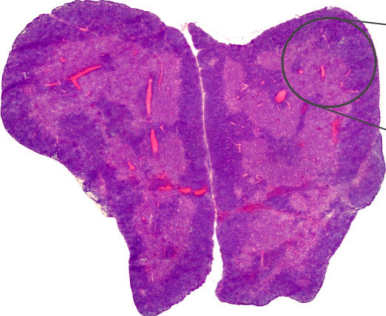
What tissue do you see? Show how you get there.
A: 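Thymus. Two lobes of lymphoid tissue lie side by side. Each lobe has a dark purple outer zone and paler inner zones. No follicles or sinuses are seen, only the dark outer zone and pale inner zone pattern.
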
